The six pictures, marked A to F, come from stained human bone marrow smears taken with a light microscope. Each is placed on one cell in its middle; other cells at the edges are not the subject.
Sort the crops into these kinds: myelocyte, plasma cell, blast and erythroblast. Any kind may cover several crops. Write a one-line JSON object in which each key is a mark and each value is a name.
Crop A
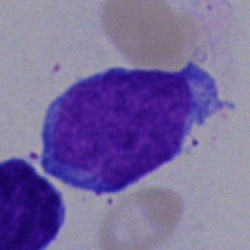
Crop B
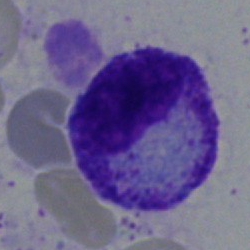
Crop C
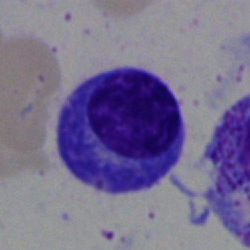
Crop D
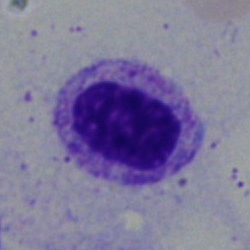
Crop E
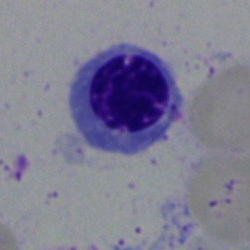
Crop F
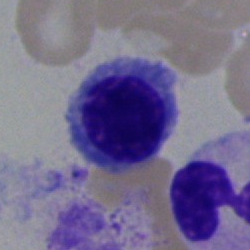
{"A": "blast", "B": "myelocyte", "C": "plasma cell", "D": "myelocyte", "E": "erythroblast", "F": "erythroblast"}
